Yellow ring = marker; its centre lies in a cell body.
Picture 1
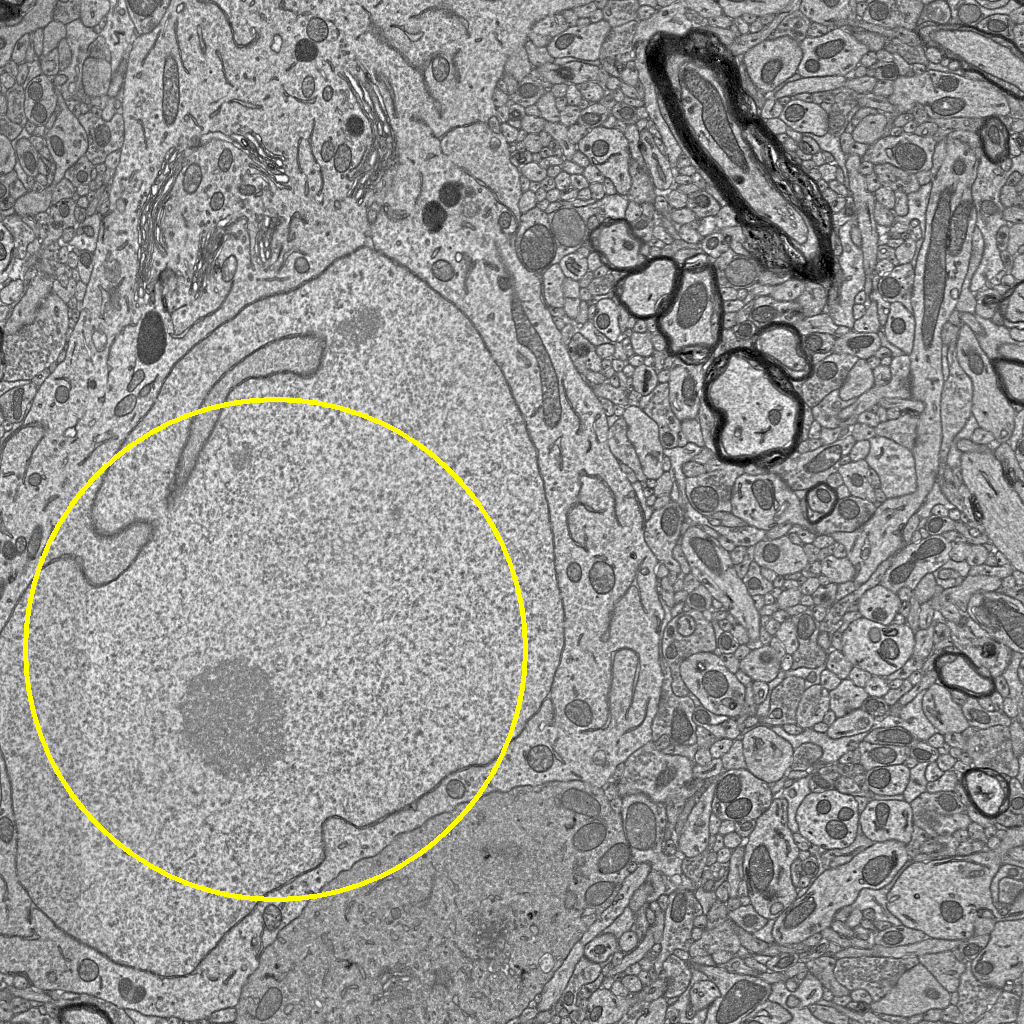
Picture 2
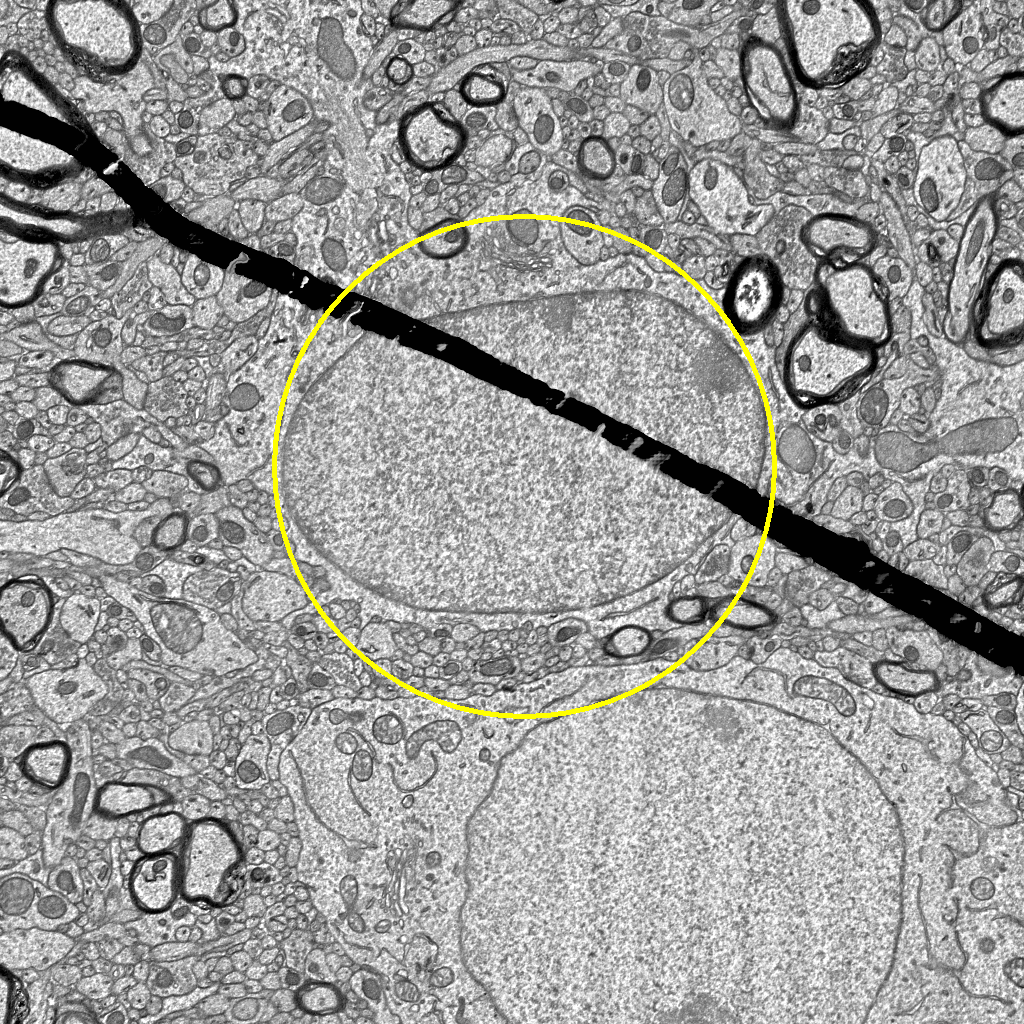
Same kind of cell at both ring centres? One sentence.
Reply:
No, they are two kinds of cell.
